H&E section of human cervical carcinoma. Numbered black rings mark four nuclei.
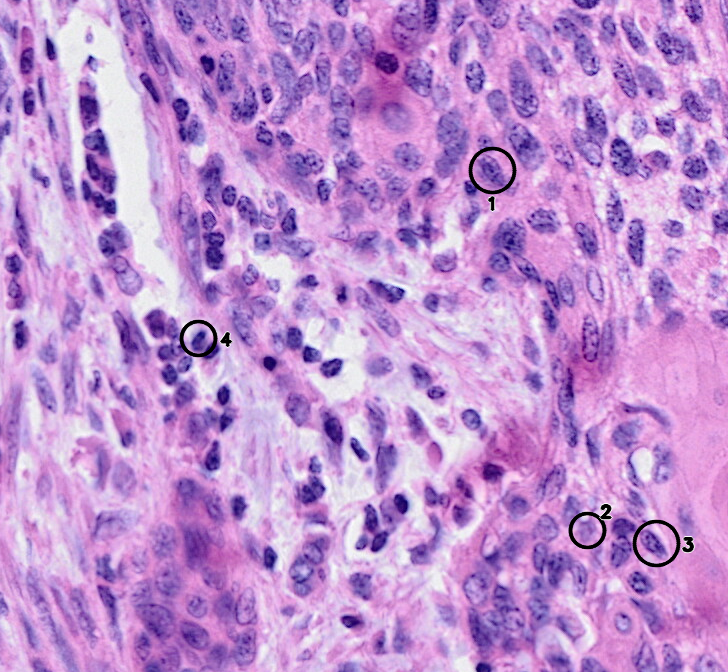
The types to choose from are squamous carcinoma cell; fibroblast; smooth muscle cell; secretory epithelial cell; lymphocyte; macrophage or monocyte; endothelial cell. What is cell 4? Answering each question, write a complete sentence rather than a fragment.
Here the cell numbered 4 is a lymphocyte.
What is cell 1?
Classified as a squamous carcinoma cell is the cell with the number 1.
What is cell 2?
At number 2, the marked cell is a squamous carcinoma cell.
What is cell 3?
Cell 3 is classified as a squamous carcinoma cell.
